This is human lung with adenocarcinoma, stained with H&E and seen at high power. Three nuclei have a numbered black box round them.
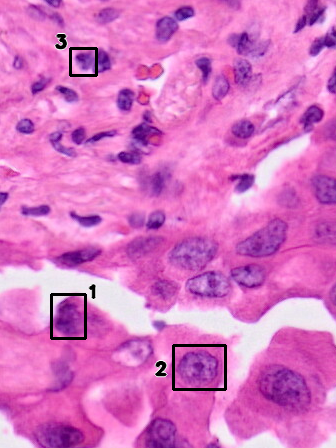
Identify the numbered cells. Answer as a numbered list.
1. carcinoma cell
2. carcinoma cell
3. lymphocyte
